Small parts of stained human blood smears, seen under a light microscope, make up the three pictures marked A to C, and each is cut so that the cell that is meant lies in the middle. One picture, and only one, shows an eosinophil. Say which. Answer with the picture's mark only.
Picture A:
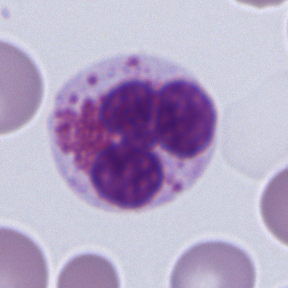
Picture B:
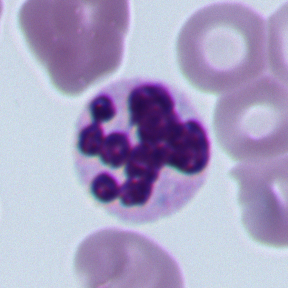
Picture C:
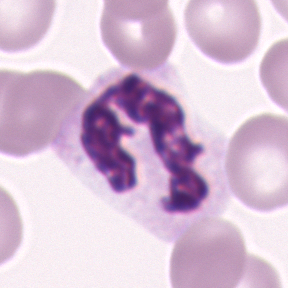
A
